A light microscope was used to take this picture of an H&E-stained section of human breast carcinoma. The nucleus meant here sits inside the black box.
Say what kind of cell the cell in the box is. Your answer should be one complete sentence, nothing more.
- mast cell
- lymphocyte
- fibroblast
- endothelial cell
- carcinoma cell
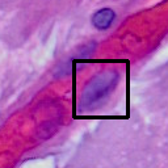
Recorded by type, the cell in the box is an endothelial cell.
